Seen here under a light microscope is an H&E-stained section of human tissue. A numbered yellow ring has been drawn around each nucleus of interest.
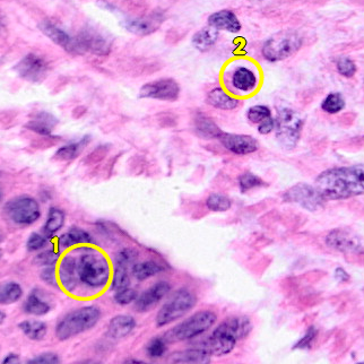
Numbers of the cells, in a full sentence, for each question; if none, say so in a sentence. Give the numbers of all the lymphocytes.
Cell 2 is a lymphocyte, and it is the only numbered cell that is.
